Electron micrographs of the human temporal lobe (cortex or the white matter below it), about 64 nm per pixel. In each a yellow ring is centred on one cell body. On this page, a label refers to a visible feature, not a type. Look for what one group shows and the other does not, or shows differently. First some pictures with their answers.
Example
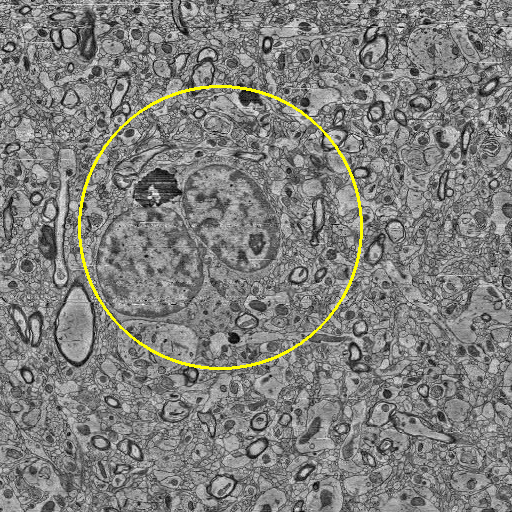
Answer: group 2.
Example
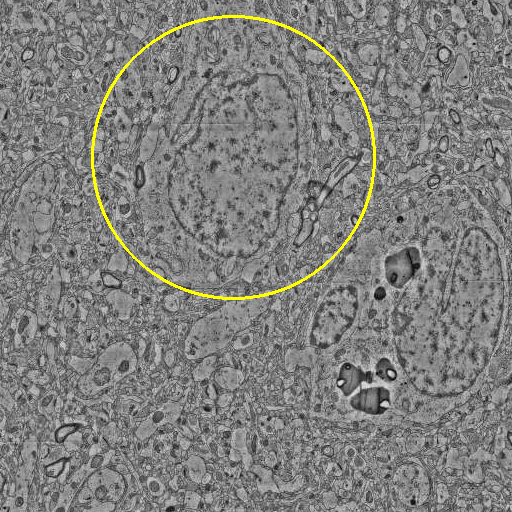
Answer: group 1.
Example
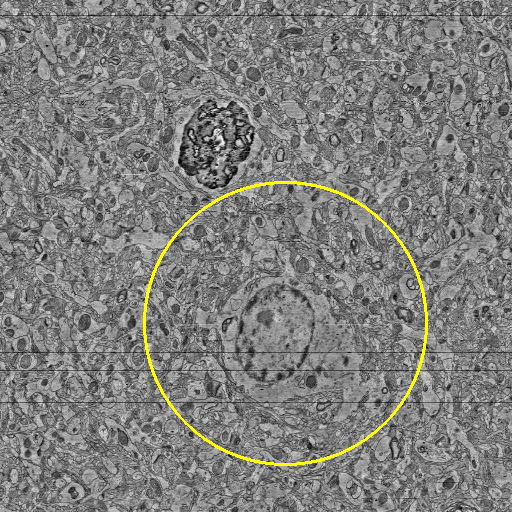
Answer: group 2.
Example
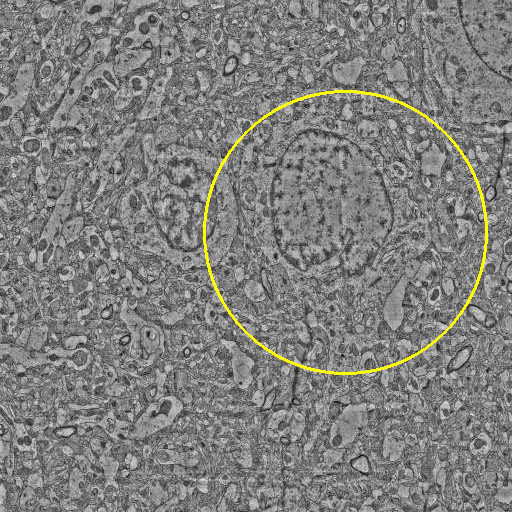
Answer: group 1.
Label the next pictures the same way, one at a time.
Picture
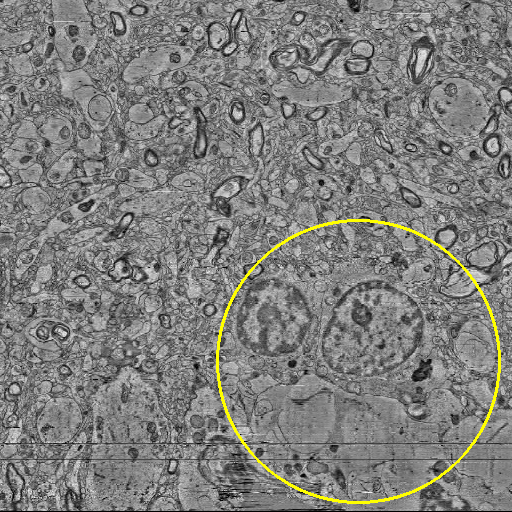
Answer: group 2.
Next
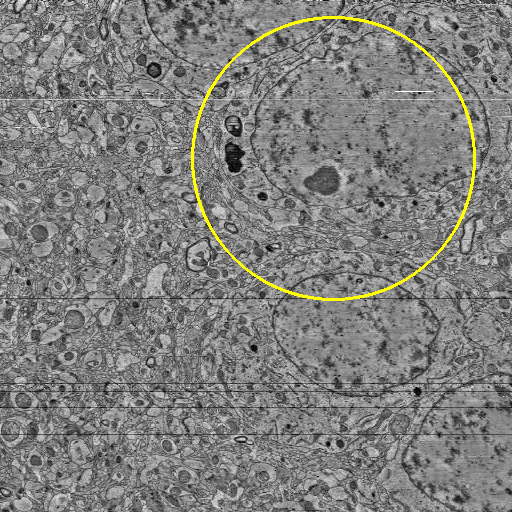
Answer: group 2.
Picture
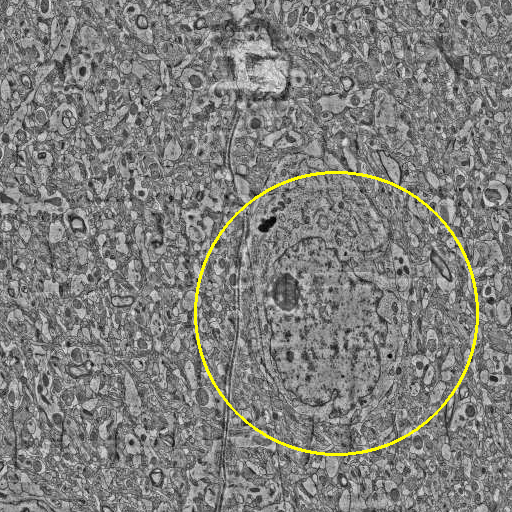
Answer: group 2.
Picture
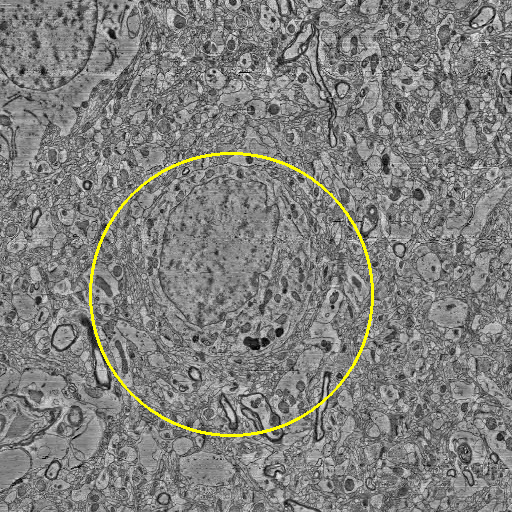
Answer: group 1.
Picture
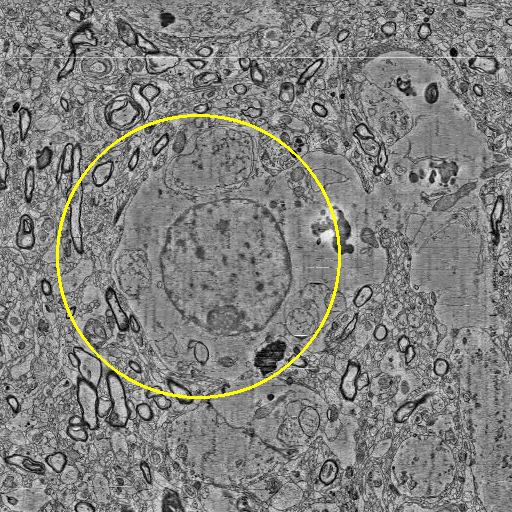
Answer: group 2.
